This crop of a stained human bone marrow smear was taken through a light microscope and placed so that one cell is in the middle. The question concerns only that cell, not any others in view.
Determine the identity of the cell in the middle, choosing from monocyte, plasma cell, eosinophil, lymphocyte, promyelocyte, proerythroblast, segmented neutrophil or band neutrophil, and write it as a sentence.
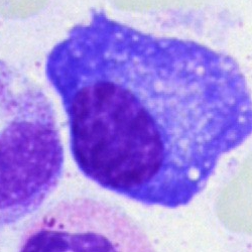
Standing at the centre of this crop is a plasma cell.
